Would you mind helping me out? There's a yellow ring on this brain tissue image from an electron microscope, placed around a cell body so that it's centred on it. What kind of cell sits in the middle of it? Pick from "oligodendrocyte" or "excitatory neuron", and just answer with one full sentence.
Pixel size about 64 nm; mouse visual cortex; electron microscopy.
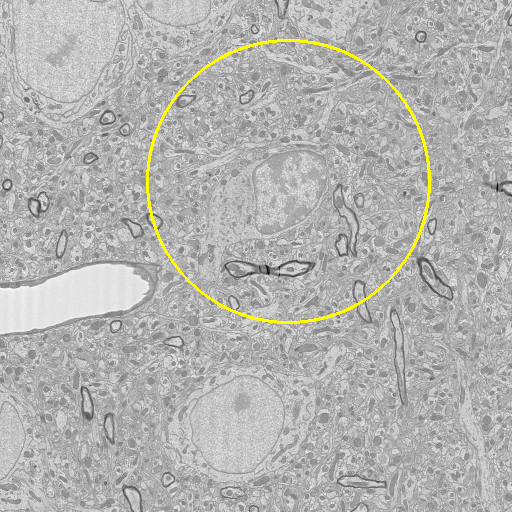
What sits in the middle of that yellow ring is an oligodendrocyte, from your choices.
